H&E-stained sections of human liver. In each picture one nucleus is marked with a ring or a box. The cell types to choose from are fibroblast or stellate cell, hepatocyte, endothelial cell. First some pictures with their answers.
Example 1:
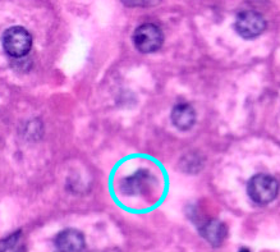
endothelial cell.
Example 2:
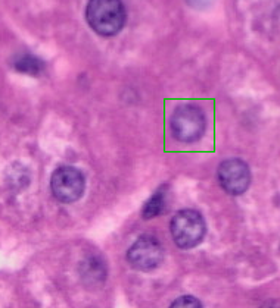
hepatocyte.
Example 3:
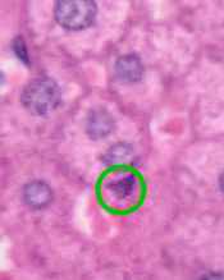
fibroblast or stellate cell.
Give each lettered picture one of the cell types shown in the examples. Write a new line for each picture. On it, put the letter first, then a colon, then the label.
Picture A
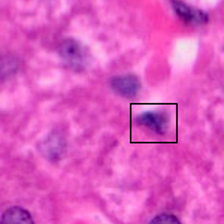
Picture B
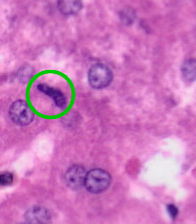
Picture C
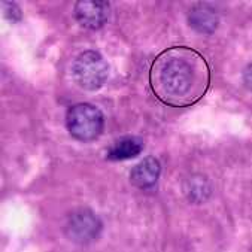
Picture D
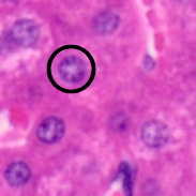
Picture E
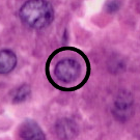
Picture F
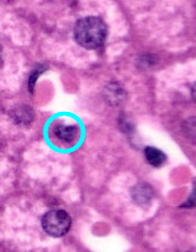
A: endothelial cell.
B: fibroblast or stellate cell.
C: hepatocyte.
D: hepatocyte.
E: hepatocyte.
F: fibroblast or stellate cell.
